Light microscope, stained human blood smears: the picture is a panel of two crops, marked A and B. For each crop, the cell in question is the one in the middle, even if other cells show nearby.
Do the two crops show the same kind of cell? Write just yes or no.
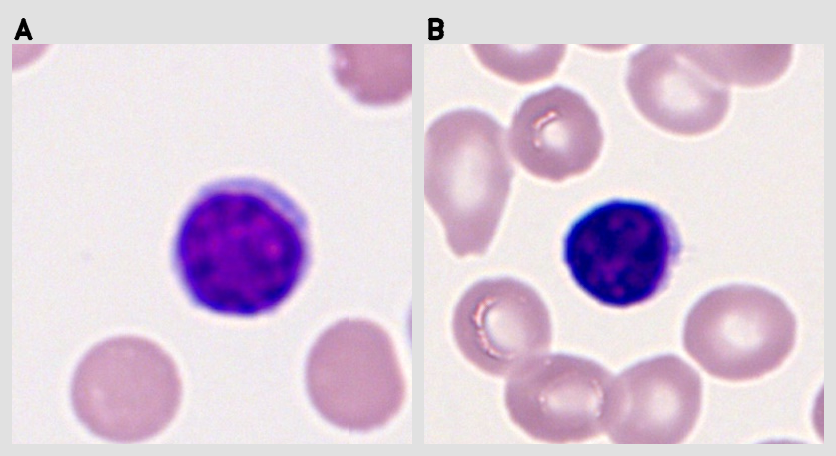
yes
